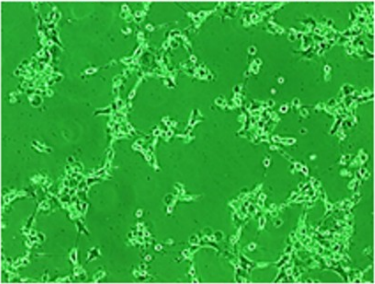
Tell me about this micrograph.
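Cultured cells are seen that have lost their flat spread form and appear small, rounded and phase-bright. They gather in loose, irregular clumps and strands, leaving wide empty stretches of the dish between them, consistent with cell shrinkage and fragmentation.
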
